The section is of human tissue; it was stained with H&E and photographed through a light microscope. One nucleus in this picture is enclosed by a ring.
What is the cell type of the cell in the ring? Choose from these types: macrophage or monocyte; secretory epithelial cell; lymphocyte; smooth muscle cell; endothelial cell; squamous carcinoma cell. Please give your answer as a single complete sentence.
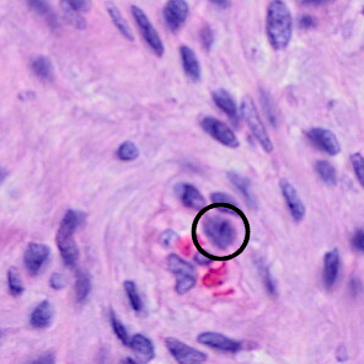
On this particular slide, the cell in the ring is an endothelial cell.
